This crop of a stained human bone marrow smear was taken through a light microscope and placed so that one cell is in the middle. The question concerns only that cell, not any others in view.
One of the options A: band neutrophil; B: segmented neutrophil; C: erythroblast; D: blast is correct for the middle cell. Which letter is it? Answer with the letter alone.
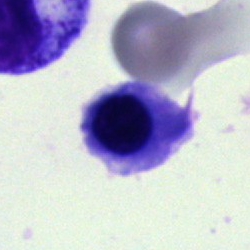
C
